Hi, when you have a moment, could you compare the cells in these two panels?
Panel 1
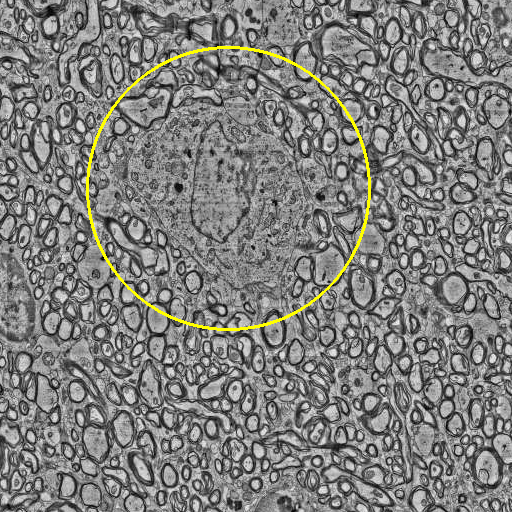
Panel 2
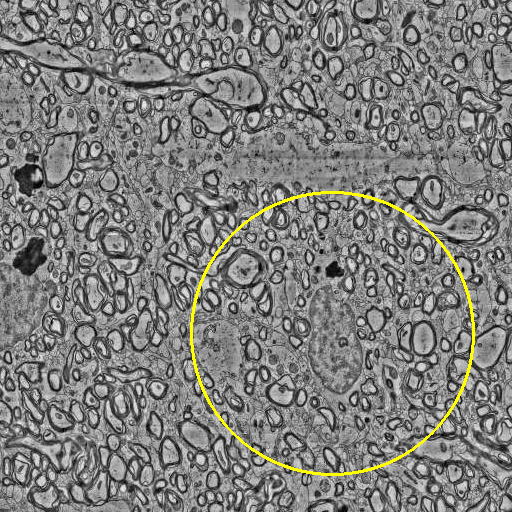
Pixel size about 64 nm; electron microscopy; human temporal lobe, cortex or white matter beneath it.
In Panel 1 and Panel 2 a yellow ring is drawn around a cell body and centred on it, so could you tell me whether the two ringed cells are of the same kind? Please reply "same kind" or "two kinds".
two kinds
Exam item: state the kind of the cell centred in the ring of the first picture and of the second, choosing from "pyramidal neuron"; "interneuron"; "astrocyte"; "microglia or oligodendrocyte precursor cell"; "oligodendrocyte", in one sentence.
The first picture shows a pyramidal neuron at the ring centre and the second shows an oligodendrocyte.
